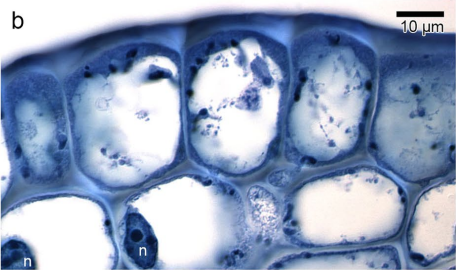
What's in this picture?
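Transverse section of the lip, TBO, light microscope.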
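A single layer of epidermal cells forms the surface, with thickened, darkly stained outer walls above a row of large, mostly clear vacuolated cells. Their thin cytoplasm lines the walls and contains scattered dark blue granules.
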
